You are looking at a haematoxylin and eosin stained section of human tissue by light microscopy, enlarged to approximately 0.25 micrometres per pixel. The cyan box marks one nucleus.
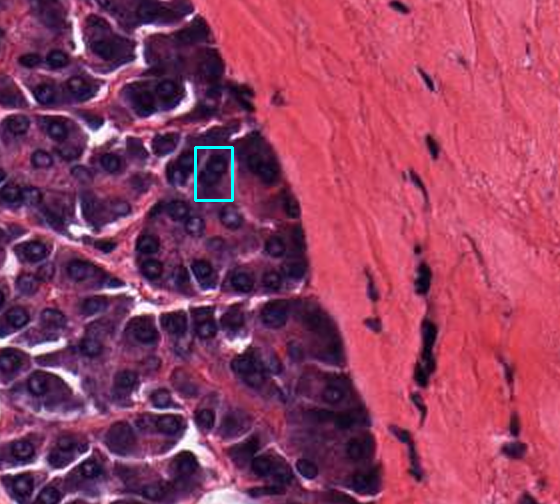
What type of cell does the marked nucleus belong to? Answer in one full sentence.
The marked nucleus lies within a pancreatic acinar cell.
